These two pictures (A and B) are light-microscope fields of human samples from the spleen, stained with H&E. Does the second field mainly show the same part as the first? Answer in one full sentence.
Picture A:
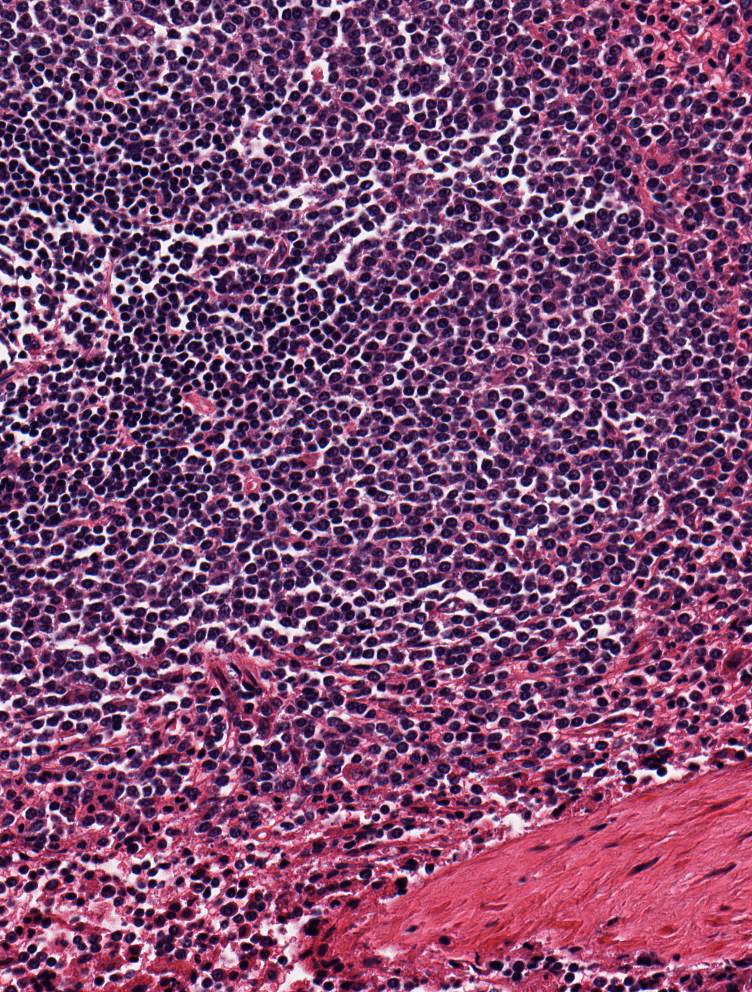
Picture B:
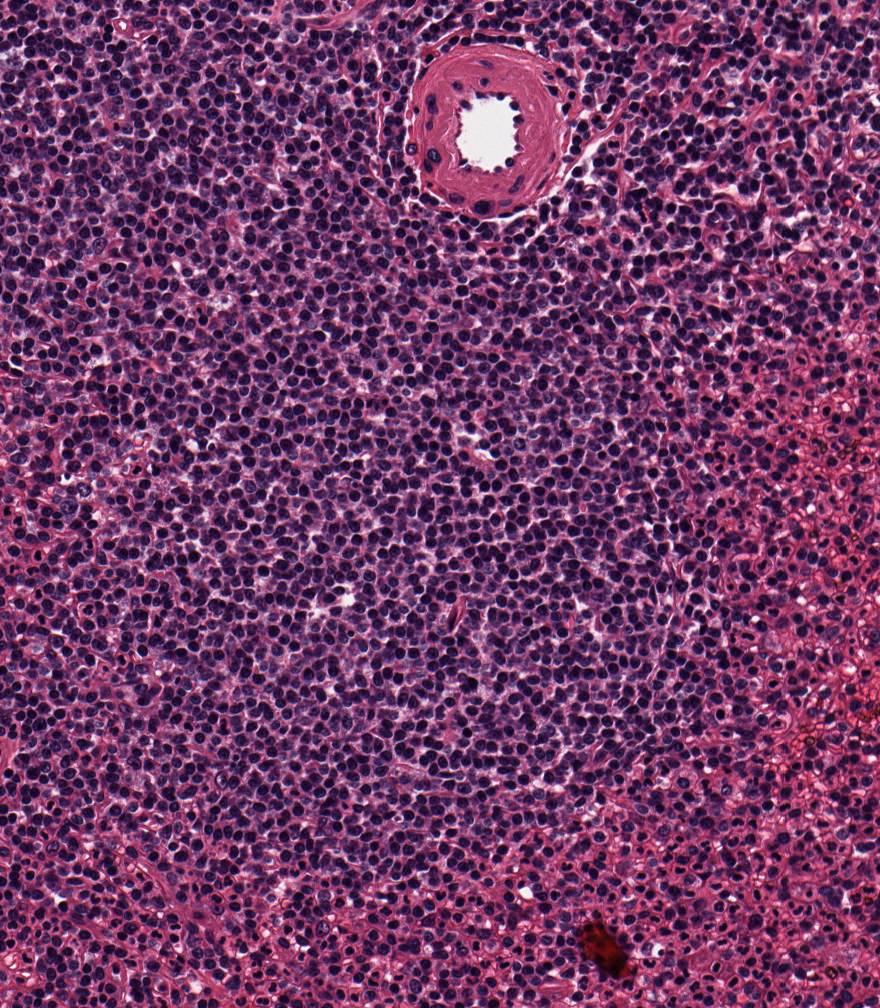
Yes, both mainly show the white pulp.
